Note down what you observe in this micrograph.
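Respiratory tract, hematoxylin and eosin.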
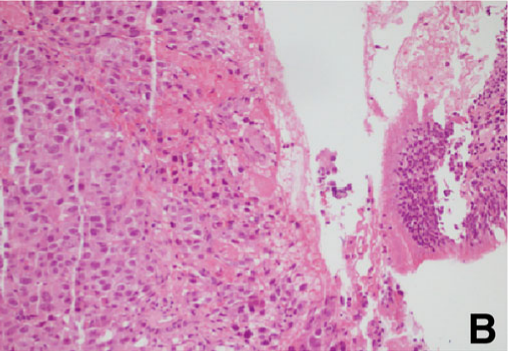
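This is a solid growth of tumour cells, with a small fragment of ciliated columnar epithelium lying apart on the right. On the left, the tumour forms a continuous sheet of fairly large, polygonal cells. They have plentiful pink cytoplasm and round to oval nuclei, some with visible nucleoli. The cells form no glands. The sheet is crossed by a few slit-like clefts. At its edge there is a pale, loose pink zone. The detached fragment on the right consists of tall cells with crowded, dark, stacked nuclei forming a band, and a pink surface.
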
